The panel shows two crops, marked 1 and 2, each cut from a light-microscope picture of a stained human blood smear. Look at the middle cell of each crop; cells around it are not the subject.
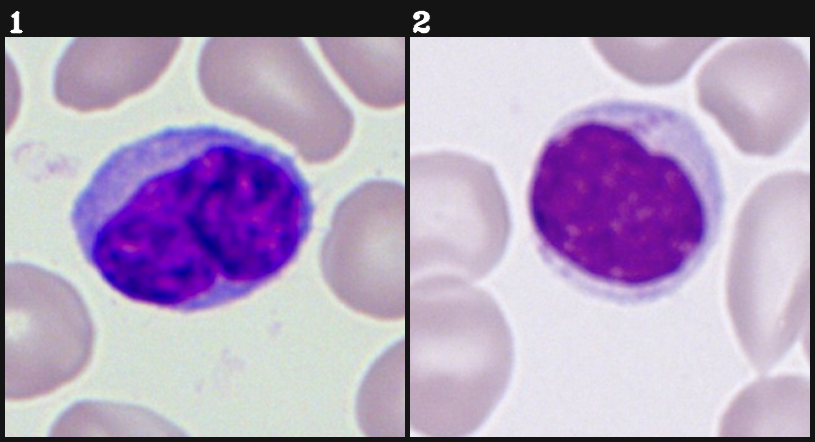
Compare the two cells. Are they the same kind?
yes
